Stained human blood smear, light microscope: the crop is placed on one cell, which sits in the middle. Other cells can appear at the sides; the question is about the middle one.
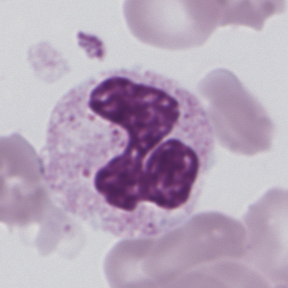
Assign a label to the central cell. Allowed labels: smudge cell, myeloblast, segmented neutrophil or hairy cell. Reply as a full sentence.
The centrally placed cell is classified as a segmented neutrophil.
